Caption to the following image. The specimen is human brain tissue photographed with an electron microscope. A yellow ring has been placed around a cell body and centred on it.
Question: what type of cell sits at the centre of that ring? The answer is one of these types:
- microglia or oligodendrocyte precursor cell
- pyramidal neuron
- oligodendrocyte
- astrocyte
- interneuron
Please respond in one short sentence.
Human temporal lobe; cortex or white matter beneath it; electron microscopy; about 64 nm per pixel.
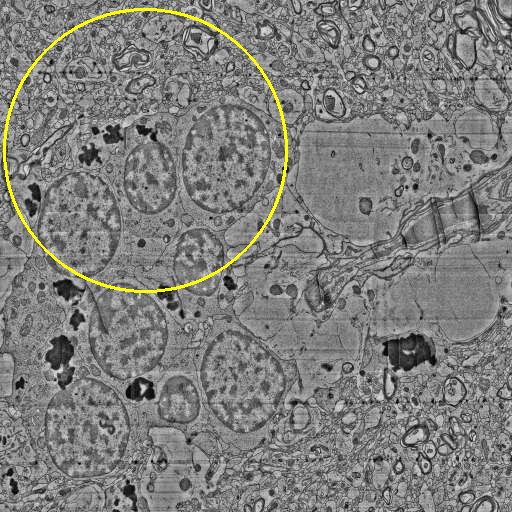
The ring surrounds the cell body of an oligodendrocyte.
